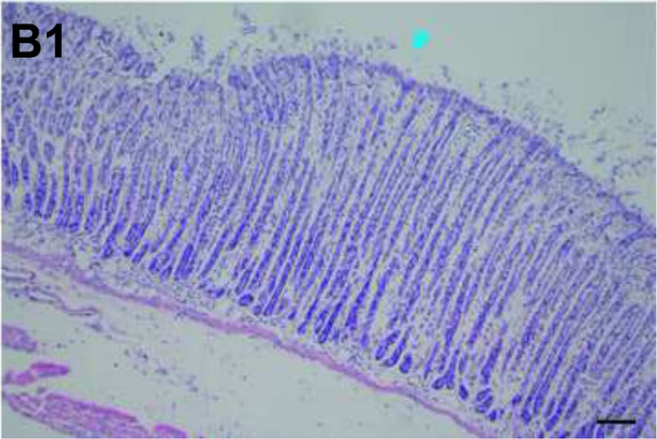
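This is a section of the stomach lining in which the glandular mucosa appears damaged. The tubular glands still run perpendicular to the surface, but they stand apart from one another with wide pale gaps between them. The surface edge is irregular and frayed, and loose cells and fragments are scattered in the space above it. The gland cells stain purple-blue but appear thinner and less densely packed than in an intact mucosa. At the base lies a pale, loose band above thin pink layers of muscle.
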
